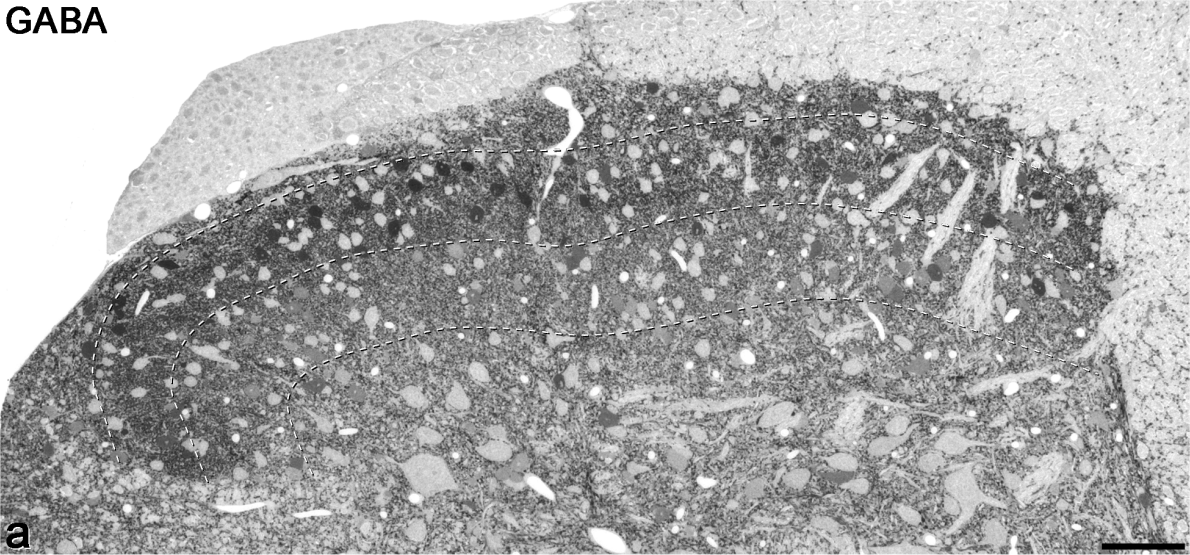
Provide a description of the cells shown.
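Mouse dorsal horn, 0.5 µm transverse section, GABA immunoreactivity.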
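The grey matter is filled with a densely dark-stippled neuropil, darkest in the superficial band just beneath the white matter. Scattered neuronal cell bodies appear as round or oval profiles, some pale and others grey to nearly black, the darkest clustered in the superficial layers. Deeper down the neuropil is lighter, cell bodies are larger, and pale fibre bundles cross the grey matter obliquely, while small round clear spaces are blood vessels.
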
